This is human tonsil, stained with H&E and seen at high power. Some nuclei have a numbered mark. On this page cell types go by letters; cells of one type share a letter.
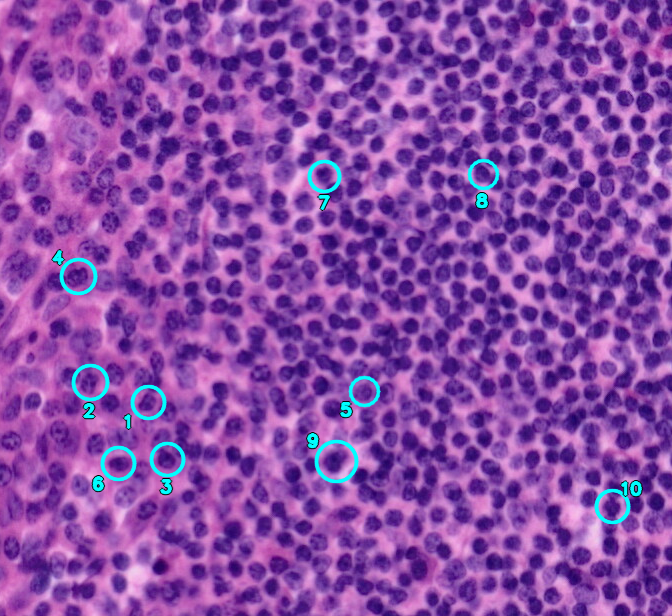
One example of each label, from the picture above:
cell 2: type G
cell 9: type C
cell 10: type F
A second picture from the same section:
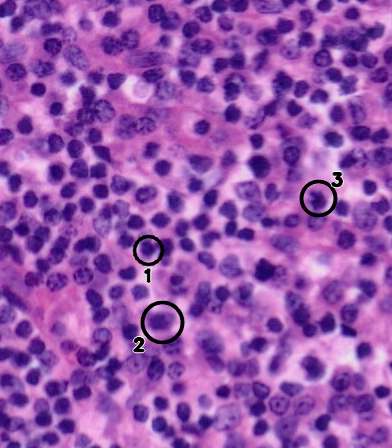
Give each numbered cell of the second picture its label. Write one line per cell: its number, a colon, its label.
1: type F
2: type C
3: type G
